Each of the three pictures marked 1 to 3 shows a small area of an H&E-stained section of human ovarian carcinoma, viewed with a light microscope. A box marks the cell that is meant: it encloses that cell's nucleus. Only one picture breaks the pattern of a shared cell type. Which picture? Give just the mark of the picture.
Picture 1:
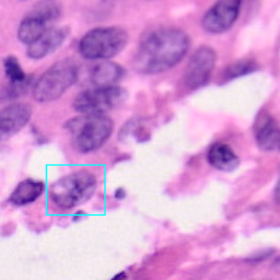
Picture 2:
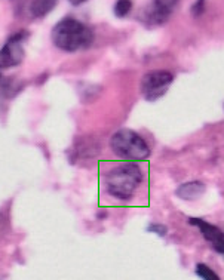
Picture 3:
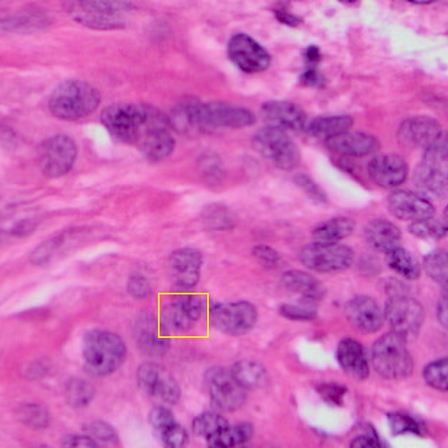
3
